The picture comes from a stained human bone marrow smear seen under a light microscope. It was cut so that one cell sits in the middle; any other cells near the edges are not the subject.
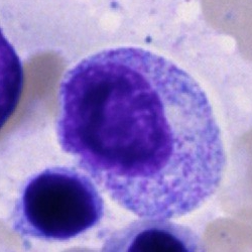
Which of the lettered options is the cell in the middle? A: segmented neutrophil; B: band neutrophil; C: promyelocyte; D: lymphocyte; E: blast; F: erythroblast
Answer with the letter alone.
C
